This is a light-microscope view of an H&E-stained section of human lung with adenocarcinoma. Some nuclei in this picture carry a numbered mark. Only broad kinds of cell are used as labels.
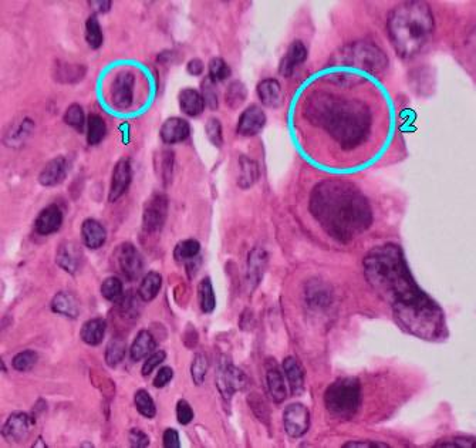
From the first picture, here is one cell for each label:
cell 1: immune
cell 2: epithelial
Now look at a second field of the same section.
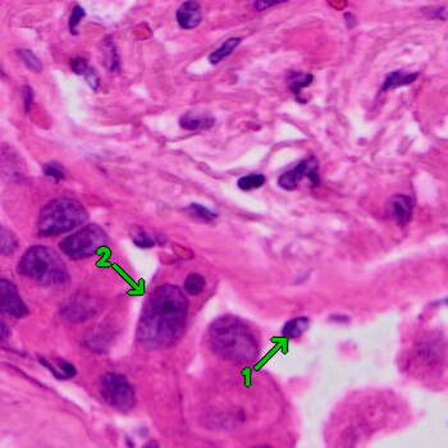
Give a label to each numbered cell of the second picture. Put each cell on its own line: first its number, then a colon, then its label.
1: immune
2: epithelial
